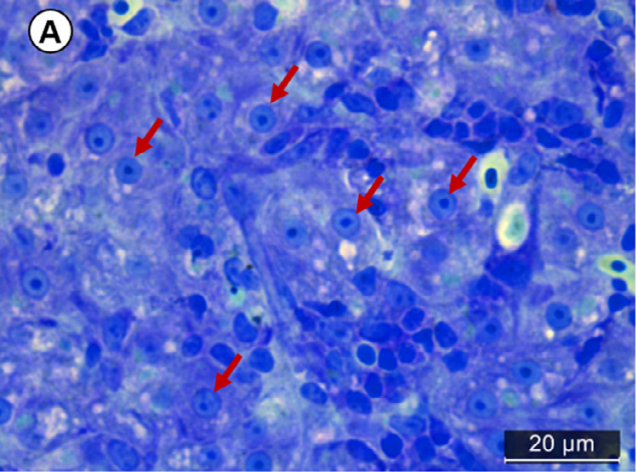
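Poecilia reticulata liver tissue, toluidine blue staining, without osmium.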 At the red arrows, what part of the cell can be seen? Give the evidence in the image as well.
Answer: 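Nuclei. The marked bodies are stained a more intense blue than the surrounding cytoplasm. A dark dot, a nucleolus, sits in the middle of several marked bodies.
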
